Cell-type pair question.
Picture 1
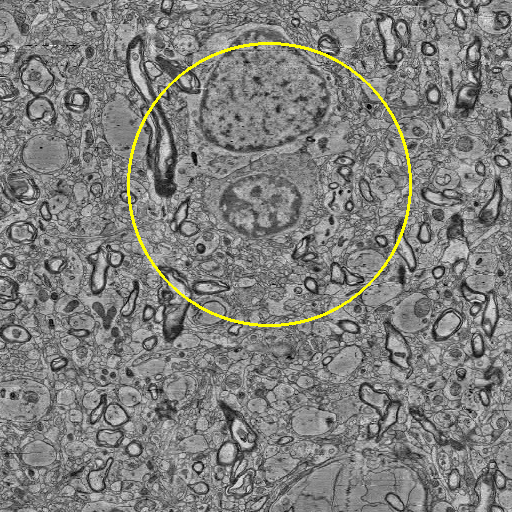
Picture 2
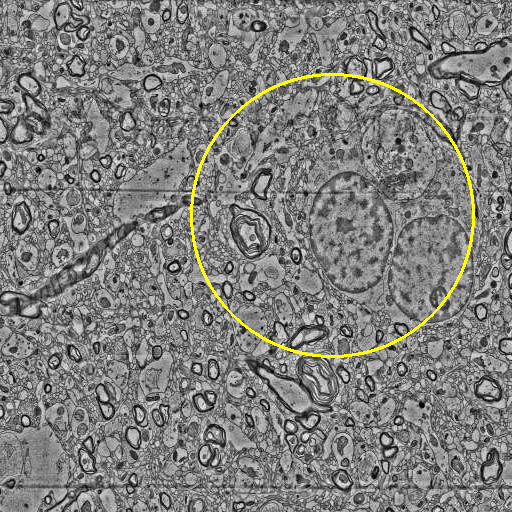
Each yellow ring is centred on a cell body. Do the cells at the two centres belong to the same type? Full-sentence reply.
Yes, the two cells belong to the same type.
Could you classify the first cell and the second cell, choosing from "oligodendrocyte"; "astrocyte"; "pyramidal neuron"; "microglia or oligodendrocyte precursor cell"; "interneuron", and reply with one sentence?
Each of the two cells is an oligodendrocyte.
